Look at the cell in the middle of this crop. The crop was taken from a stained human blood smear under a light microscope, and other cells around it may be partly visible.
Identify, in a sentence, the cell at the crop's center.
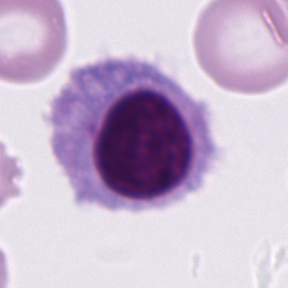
To answer, the cell in the center of the crop is a hairy cell.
